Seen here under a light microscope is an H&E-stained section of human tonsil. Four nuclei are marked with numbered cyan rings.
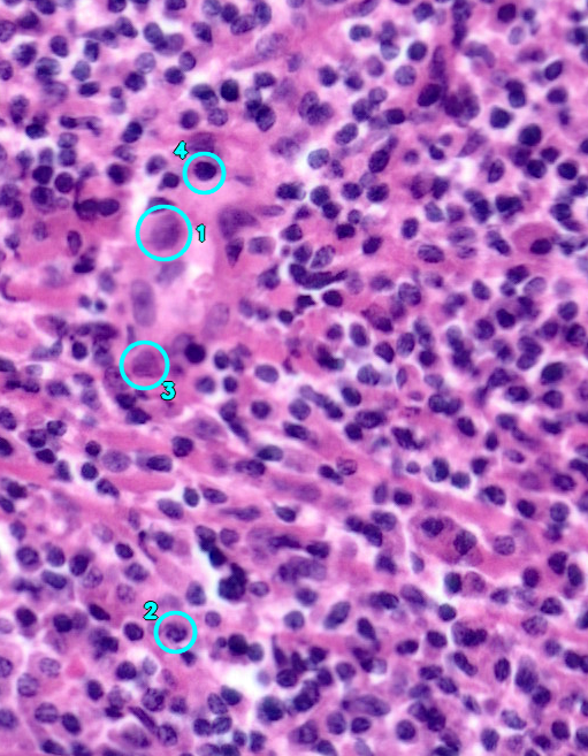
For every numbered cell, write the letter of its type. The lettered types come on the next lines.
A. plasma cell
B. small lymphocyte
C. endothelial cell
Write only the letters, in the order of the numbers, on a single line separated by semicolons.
C; A; C; C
